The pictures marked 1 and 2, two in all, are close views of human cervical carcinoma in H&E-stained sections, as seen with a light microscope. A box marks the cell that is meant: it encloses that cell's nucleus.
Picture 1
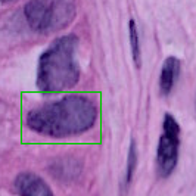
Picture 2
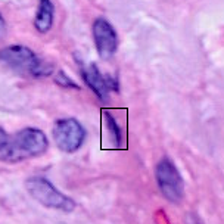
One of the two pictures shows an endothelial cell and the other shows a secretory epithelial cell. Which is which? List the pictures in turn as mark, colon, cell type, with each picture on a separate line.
1: secretory epithelial cell
2: endothelial cell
